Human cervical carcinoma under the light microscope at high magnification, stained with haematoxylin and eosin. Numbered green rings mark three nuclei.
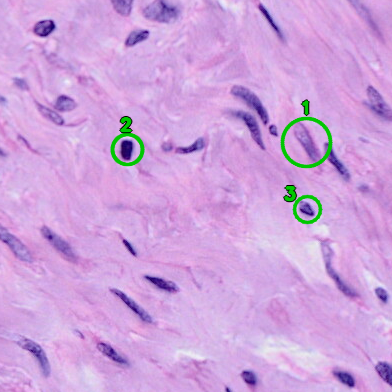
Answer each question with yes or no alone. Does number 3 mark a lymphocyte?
no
